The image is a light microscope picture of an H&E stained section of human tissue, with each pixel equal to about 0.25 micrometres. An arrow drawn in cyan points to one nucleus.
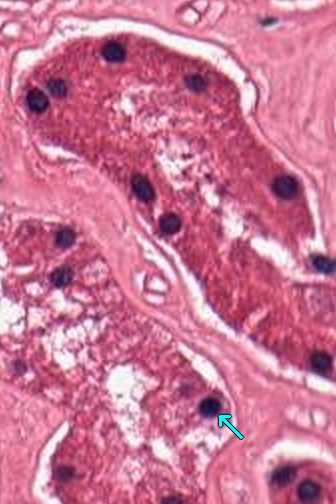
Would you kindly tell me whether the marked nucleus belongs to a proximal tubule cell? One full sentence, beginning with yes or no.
Yes, the marked nucleus is the nucleus of a proximal tubule cell in this section.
